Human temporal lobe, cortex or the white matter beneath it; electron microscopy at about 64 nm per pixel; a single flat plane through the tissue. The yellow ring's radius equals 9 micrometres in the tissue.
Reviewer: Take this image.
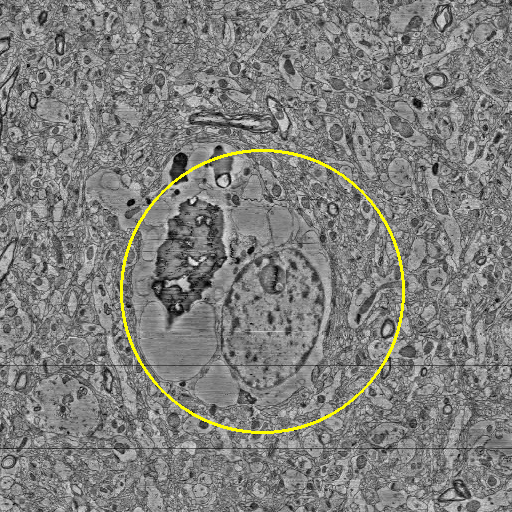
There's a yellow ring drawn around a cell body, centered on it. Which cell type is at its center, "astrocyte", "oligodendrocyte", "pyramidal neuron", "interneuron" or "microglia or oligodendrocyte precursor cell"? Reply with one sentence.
At the center of the yellow ring is an astrocyte.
